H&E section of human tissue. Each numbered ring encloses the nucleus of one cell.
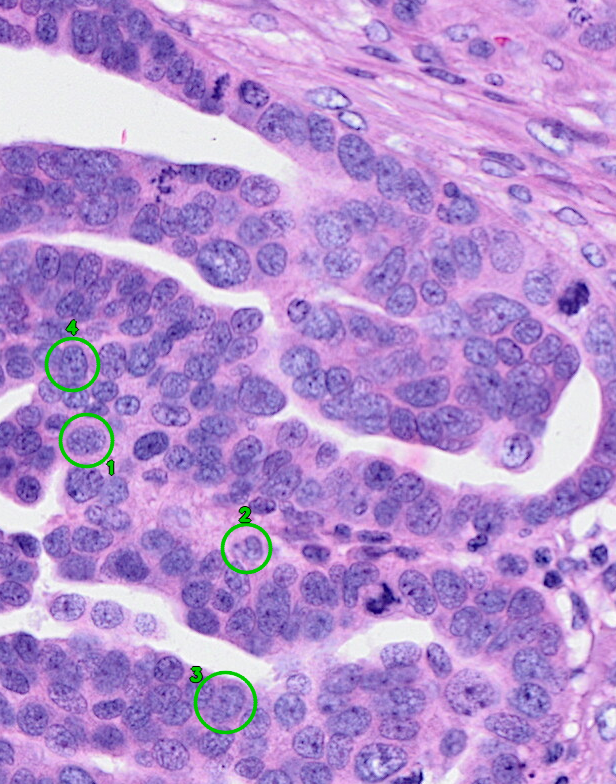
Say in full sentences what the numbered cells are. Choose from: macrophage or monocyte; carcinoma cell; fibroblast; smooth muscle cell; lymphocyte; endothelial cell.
Cells 1, 3 and 4 are carcinoma cells. Cell 2 is a macrophage or monocyte.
